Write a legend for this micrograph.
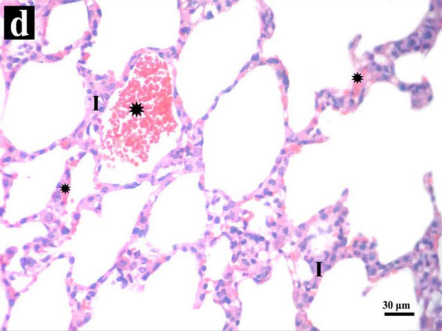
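Lung tissue at high magnification shows interalveolar septa thickened by inflammatory cellular infiltrations, with many small dark nuclei crowded in the walls. Scattered red erythrocytes also lie within the thickened septa and at the edges of air spaces. The alveoli remain open but are separated by broader, more cellular walls than normal thin septa. The cytoplasm of the septal cells is pale pink and their nuclei round to oval and purple.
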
